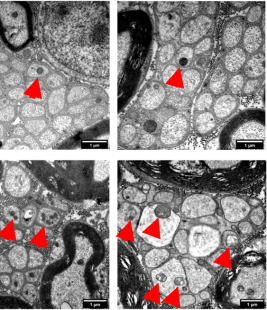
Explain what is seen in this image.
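Transmission electron micrographs of peripheral nerve show Remak bundles: clusters of small, round, unmyelinated axons embedded together in Schwann cell cytoplasm, with thick, electron-dense myelin sheaths of larger axons at the margins. Small round mitochondrial profiles lie within some of the unmyelinated axons. Several of these are pale and swollen, with disrupted inner structure.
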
